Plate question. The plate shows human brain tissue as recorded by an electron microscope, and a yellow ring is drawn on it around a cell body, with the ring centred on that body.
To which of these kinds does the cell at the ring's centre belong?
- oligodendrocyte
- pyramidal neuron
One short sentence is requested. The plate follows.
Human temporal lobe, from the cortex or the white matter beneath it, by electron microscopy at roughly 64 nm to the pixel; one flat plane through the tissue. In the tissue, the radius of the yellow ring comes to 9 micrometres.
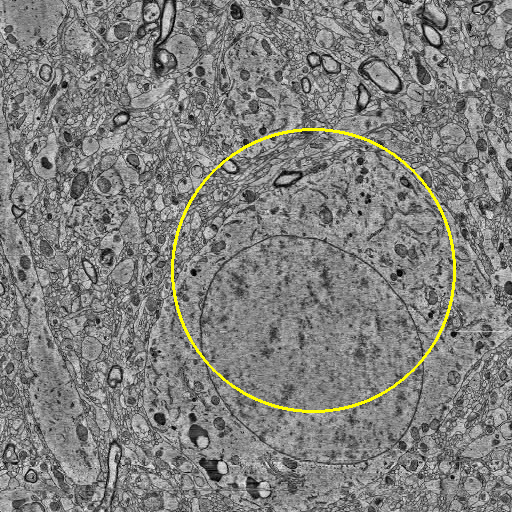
The cell at the ring's centre is a pyramidal neuron.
